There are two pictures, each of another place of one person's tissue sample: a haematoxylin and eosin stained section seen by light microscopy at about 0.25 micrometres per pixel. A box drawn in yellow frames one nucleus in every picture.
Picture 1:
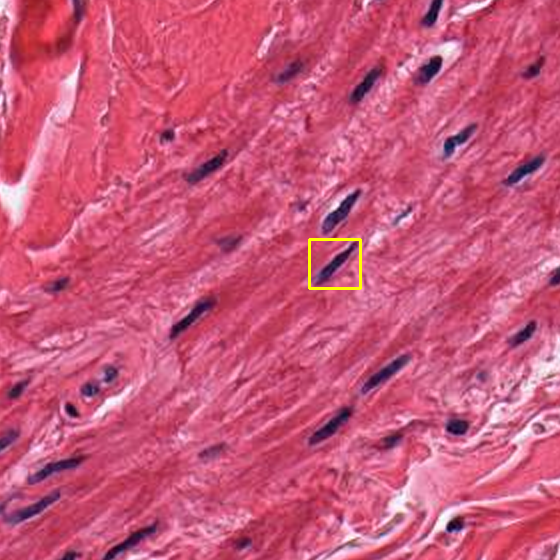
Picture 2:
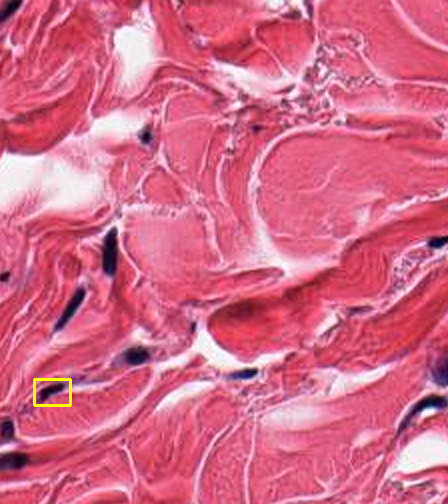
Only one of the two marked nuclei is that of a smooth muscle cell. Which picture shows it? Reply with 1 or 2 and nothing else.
1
